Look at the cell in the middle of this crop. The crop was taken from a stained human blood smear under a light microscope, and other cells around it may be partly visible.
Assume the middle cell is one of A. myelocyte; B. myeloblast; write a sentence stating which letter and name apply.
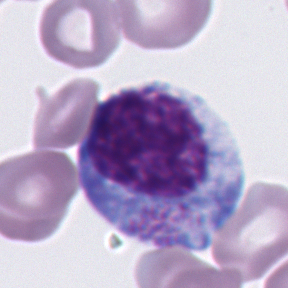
This one is option A, since the cell at the center is a myelocyte.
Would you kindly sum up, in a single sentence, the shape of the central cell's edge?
Expected answer: a smooth cell outline without projections of any sort.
